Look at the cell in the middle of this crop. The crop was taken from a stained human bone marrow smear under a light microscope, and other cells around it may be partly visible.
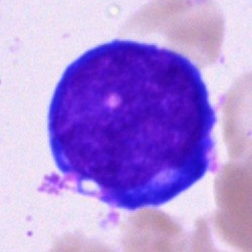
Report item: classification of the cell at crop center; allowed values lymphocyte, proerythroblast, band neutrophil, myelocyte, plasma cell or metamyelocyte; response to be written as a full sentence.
What the crop centres on is a proerythroblast.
